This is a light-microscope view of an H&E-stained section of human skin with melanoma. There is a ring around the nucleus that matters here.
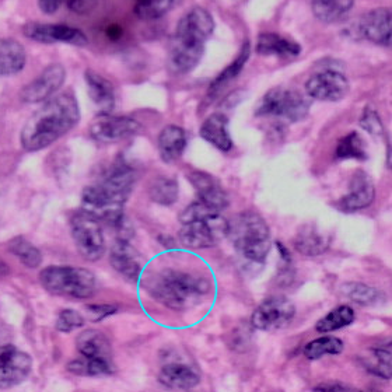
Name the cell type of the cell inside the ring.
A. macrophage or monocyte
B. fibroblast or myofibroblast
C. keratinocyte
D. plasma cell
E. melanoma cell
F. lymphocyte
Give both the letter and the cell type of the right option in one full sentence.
The correct option, E, describes the cell inside the ring as a melanoma cell.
